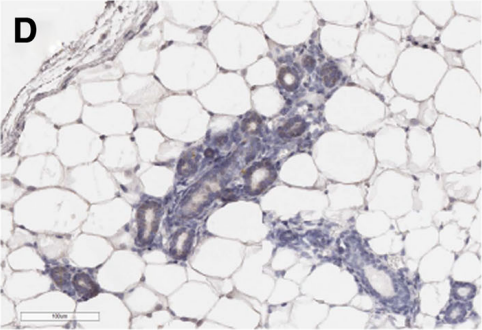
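This is mammary gland tissue showing a group of small ducts lying in a fat pad of large, empty adipocytes. The ducts are round to oval tubular profiles with small lumens lined by cuboidal epithelial cells whose nuclei are blue; there is no distinct brown nuclear staining, only a faint tan tint over the epithelium. The ducts are surrounded by loose connective tissue stroma with scattered elongated blue nuclei. A band of denser fibrous tissue crosses the upper left corner of the field.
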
